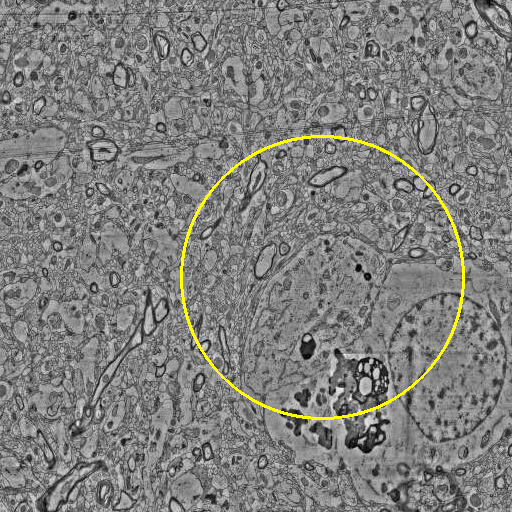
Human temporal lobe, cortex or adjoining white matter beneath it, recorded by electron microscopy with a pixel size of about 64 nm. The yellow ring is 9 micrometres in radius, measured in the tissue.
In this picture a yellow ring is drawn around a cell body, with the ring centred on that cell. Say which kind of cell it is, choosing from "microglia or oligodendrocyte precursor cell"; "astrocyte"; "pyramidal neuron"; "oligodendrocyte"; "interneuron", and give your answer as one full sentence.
Here it is an interneuron that sits at the centre of the drawn yellow ring.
